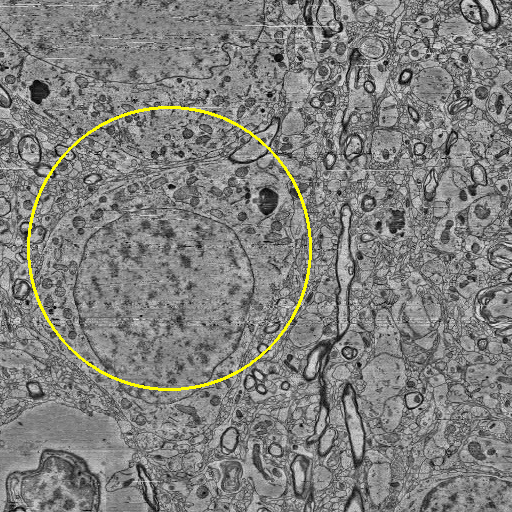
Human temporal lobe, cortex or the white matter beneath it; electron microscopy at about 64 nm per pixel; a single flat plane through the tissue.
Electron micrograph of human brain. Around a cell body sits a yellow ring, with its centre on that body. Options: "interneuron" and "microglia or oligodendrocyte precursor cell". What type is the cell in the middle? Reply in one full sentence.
The cell sitting at the centre of the yellow ring is an interneuron.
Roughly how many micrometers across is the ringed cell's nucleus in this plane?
About 12 micrometres across in this plane.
